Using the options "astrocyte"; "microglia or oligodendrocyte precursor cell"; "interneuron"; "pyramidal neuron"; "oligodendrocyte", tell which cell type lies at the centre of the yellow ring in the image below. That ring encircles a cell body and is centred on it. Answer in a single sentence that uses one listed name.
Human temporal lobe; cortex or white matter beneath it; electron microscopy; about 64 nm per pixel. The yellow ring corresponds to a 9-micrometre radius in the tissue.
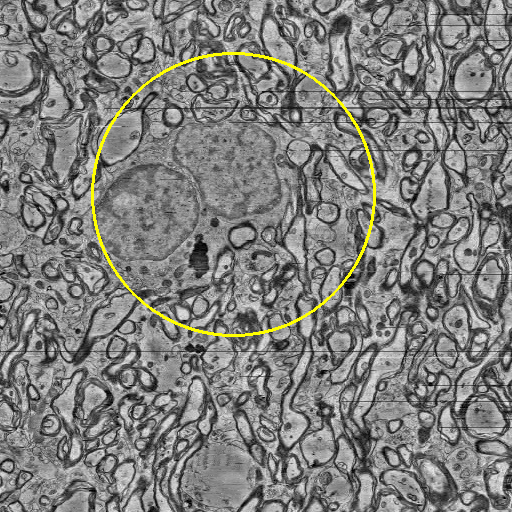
At the centre of the yellow ring lies the body of an oligodendrocyte.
